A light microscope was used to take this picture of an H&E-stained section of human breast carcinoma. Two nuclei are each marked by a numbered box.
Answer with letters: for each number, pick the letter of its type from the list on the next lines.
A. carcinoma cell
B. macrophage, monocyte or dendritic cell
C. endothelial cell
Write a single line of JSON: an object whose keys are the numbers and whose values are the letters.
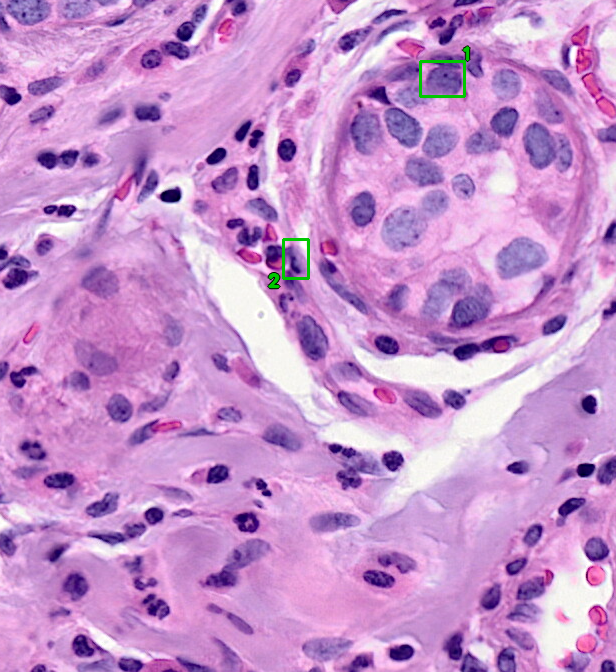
{"1": "A", "2": "C"}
